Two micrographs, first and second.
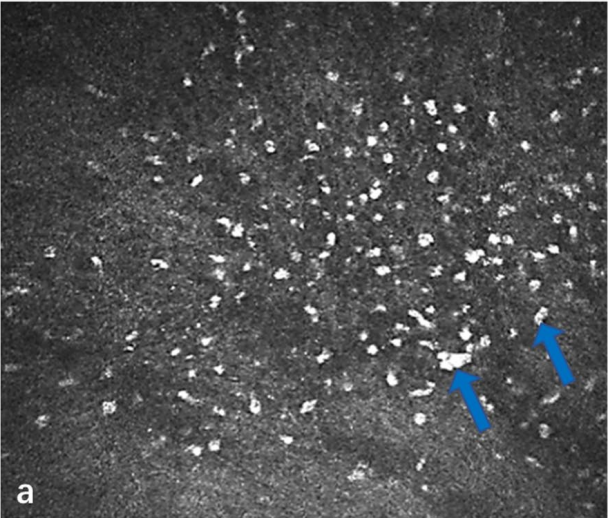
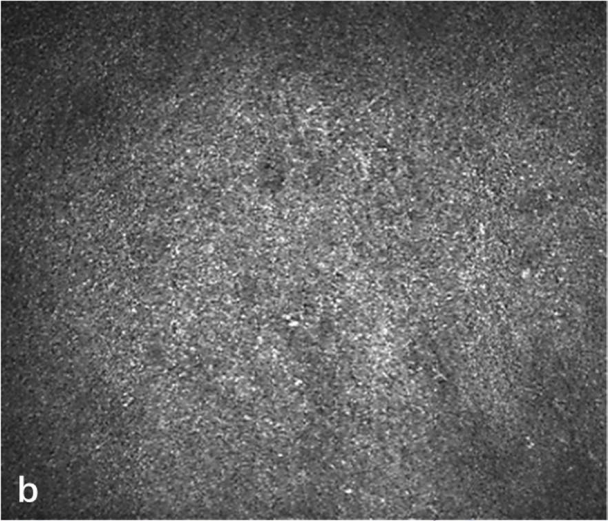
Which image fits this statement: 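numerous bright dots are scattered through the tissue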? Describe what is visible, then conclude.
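Second image: an even grey granular texture without bright dots. First image: many small bright white dots scattered across the field.
Hence: the first image.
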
